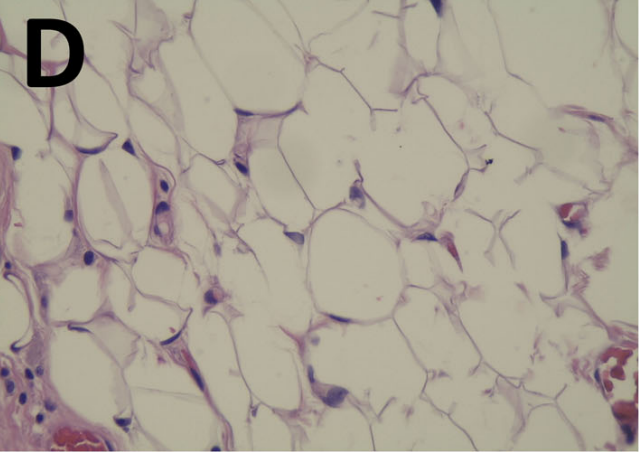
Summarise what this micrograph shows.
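Mature fat cells at high magnification. The cells are large, polygonal to rounded and closely packed, each filled by a single clear, empty vacuole, giving a honeycomb pattern of thin pink membranes. Nuclei are few, small, dark and flattened or crescent-shaped, pressed against the cell margin. The cytoplasm is reduced to a thin rim. No multivacuolated cells with central nuclei are seen. A few red blood cells lie in small capillaries between the cells at the edges of the field, and a little pink connective tissue with a few nuclei lies at the left margin.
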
